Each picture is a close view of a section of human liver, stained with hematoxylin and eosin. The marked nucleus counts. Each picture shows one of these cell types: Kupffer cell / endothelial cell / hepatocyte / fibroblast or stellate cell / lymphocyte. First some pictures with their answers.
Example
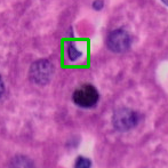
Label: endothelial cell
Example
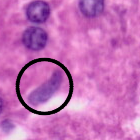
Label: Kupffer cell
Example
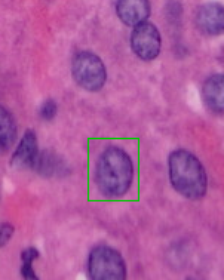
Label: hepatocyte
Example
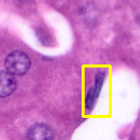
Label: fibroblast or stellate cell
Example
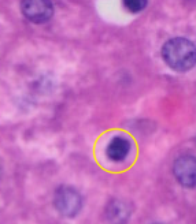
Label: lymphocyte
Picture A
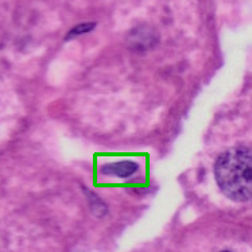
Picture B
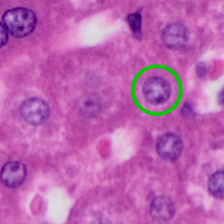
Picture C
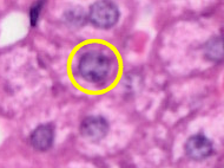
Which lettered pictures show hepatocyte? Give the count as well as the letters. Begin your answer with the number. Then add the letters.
2: B, C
